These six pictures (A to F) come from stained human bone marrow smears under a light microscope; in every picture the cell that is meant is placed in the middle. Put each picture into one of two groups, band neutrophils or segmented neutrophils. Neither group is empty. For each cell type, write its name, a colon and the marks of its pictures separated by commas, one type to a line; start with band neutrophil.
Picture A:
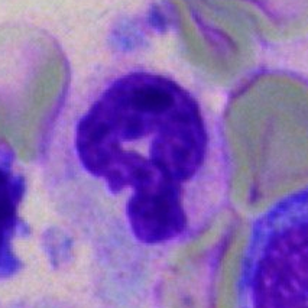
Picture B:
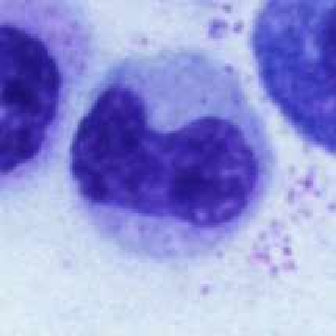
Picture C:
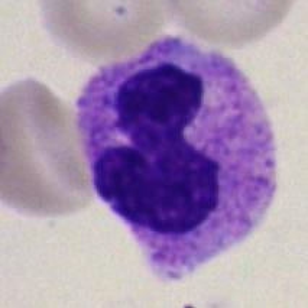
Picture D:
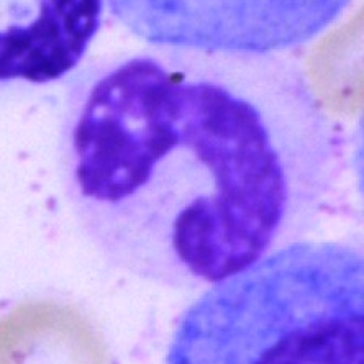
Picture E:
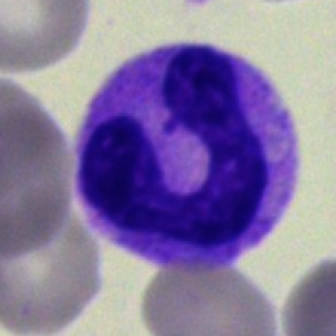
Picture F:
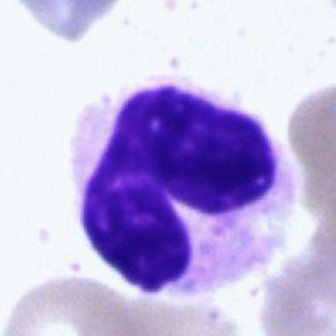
band neutrophil: B, D, E, F
segmented neutrophil: A, C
